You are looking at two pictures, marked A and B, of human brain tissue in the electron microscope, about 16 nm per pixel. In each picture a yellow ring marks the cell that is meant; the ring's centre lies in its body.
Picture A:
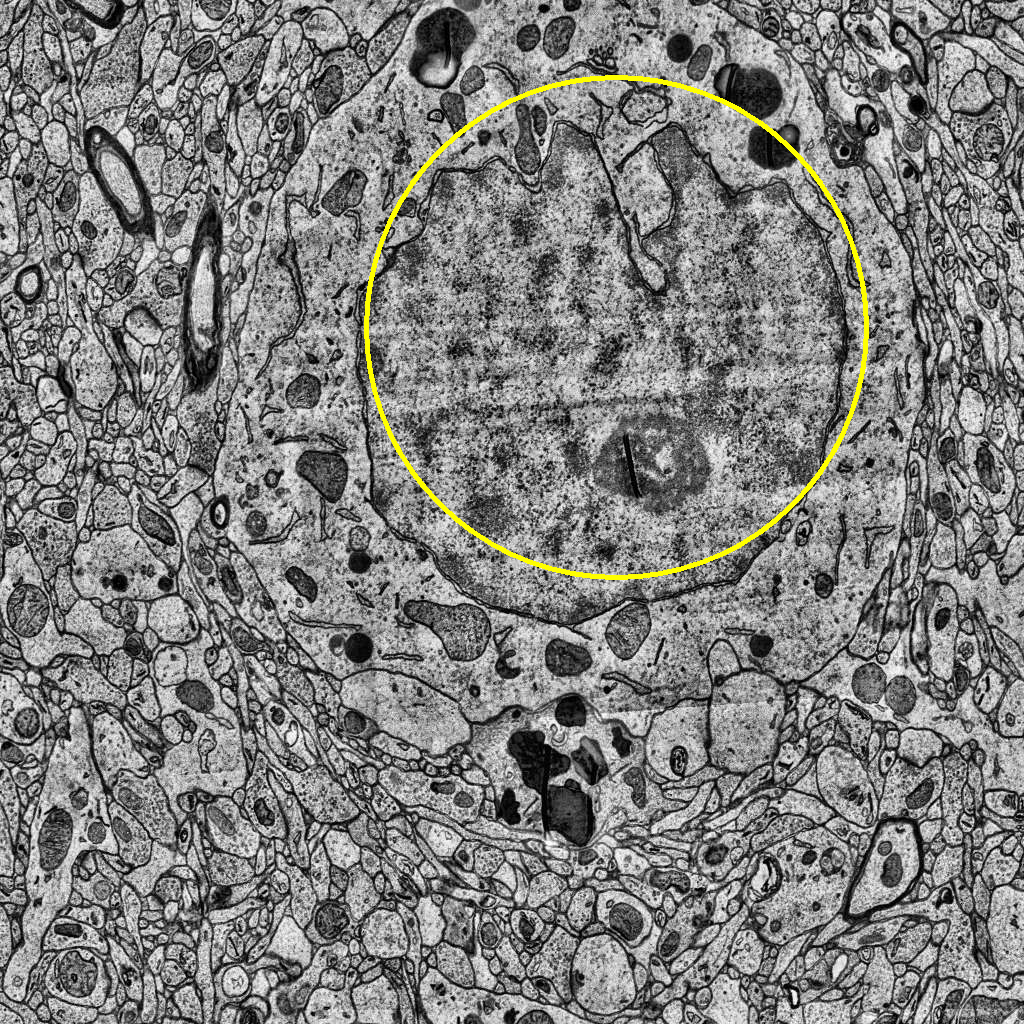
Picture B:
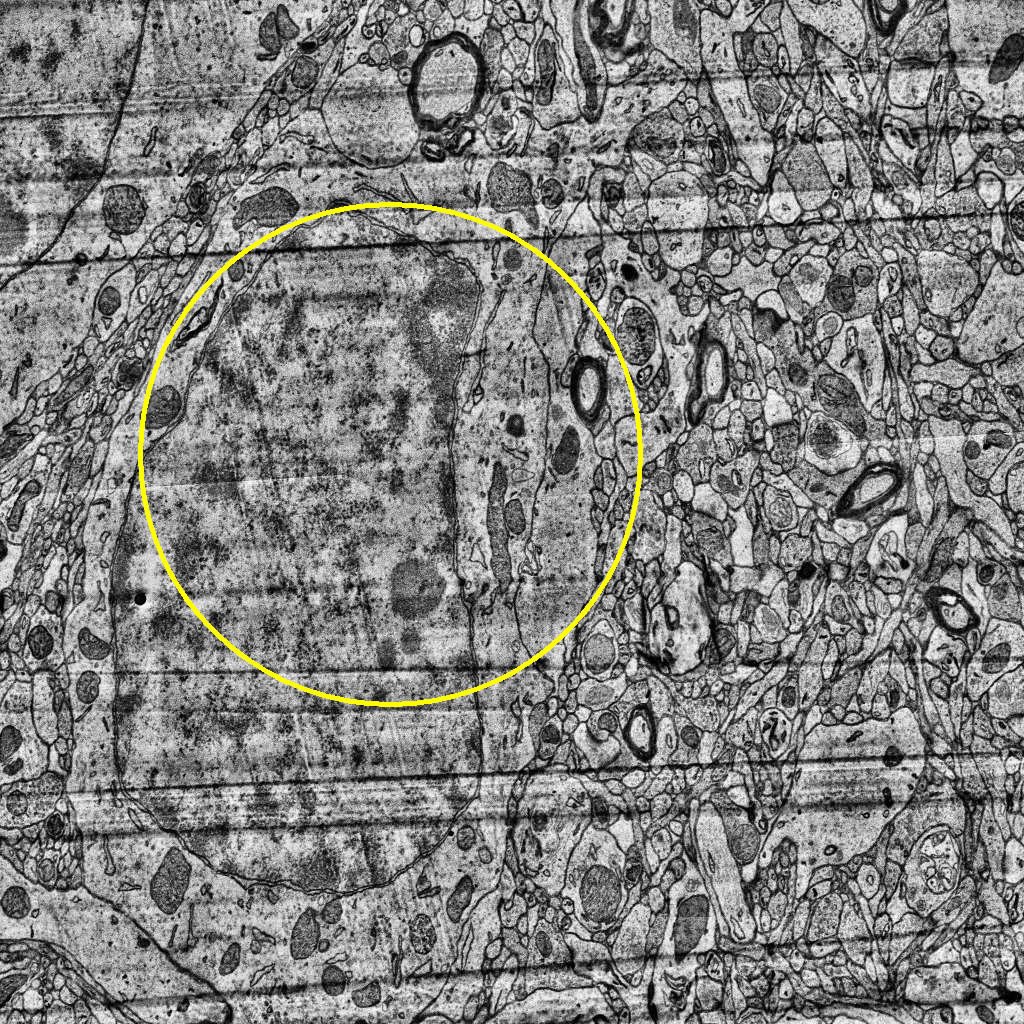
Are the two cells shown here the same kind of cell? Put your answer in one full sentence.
Yes; the cells in both pictures are interneurons.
